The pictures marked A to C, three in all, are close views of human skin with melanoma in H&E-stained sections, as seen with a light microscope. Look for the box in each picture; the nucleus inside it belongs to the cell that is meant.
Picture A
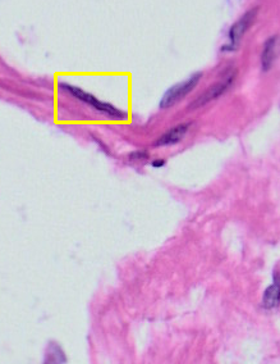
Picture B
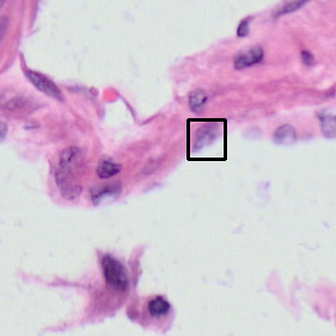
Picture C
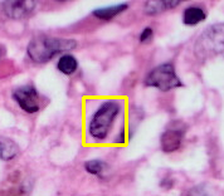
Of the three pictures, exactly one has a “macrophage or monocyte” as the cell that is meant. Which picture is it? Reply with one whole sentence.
The picture with the “macrophage or monocyte” is C.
